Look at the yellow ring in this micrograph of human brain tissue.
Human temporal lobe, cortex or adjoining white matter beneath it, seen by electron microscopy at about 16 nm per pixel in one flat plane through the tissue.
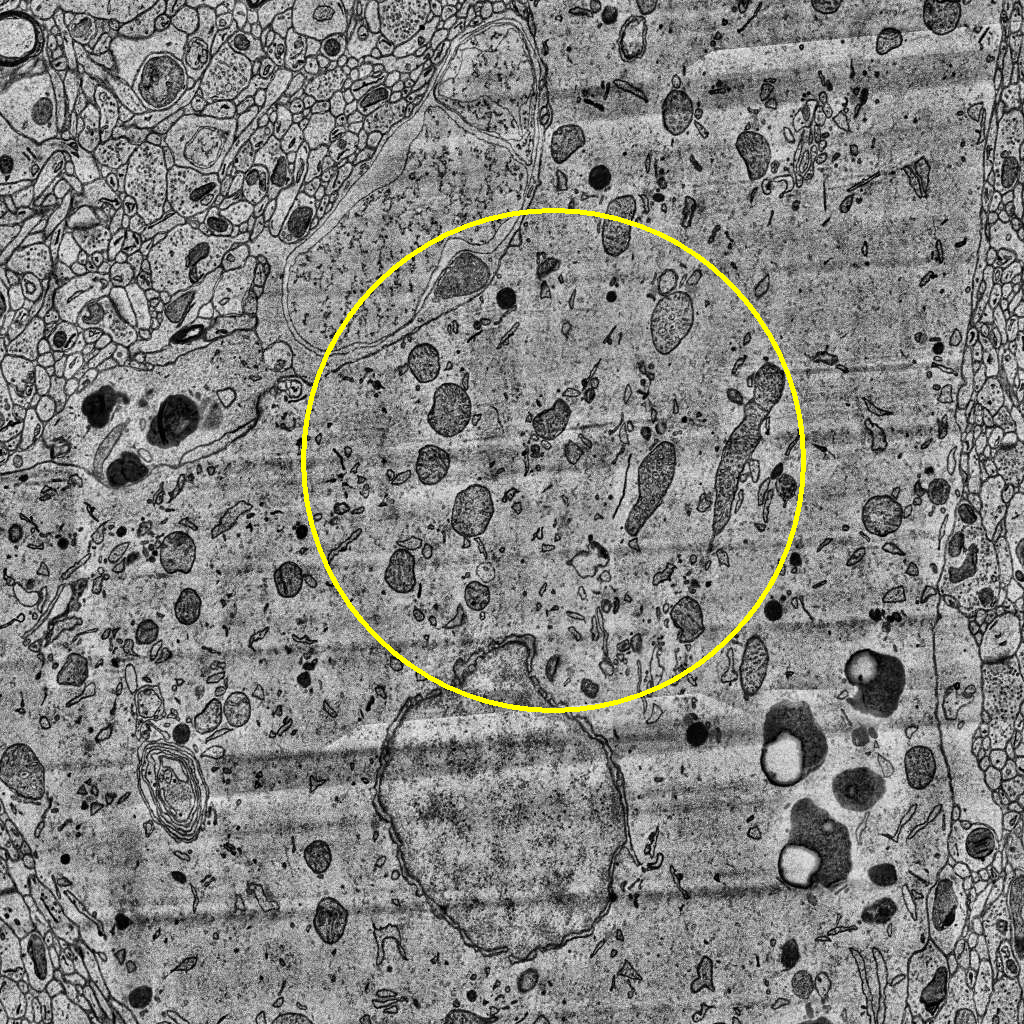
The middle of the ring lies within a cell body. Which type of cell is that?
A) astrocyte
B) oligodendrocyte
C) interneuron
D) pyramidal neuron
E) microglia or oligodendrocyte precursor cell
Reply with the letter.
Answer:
B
